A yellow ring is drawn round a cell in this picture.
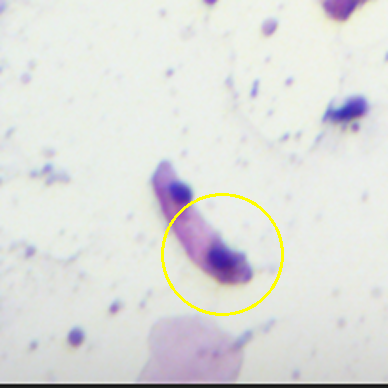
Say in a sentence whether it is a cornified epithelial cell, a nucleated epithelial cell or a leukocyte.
The cell in the ring is a nucleated epithelial cell.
